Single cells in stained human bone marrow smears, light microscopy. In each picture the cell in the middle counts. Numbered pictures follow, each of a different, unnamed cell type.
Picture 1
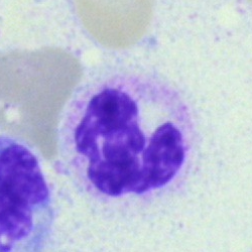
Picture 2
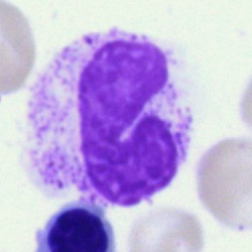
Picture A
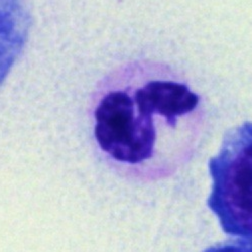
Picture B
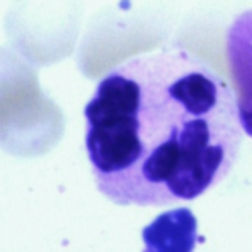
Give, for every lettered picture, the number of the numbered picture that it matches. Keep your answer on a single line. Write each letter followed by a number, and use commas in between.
A 1, B 1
